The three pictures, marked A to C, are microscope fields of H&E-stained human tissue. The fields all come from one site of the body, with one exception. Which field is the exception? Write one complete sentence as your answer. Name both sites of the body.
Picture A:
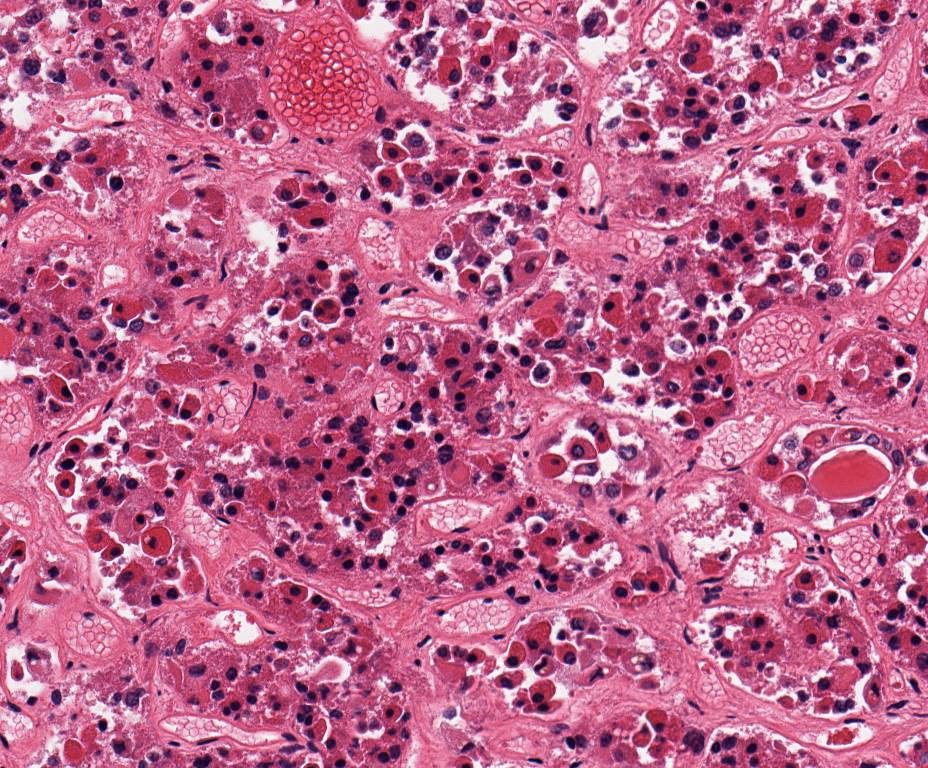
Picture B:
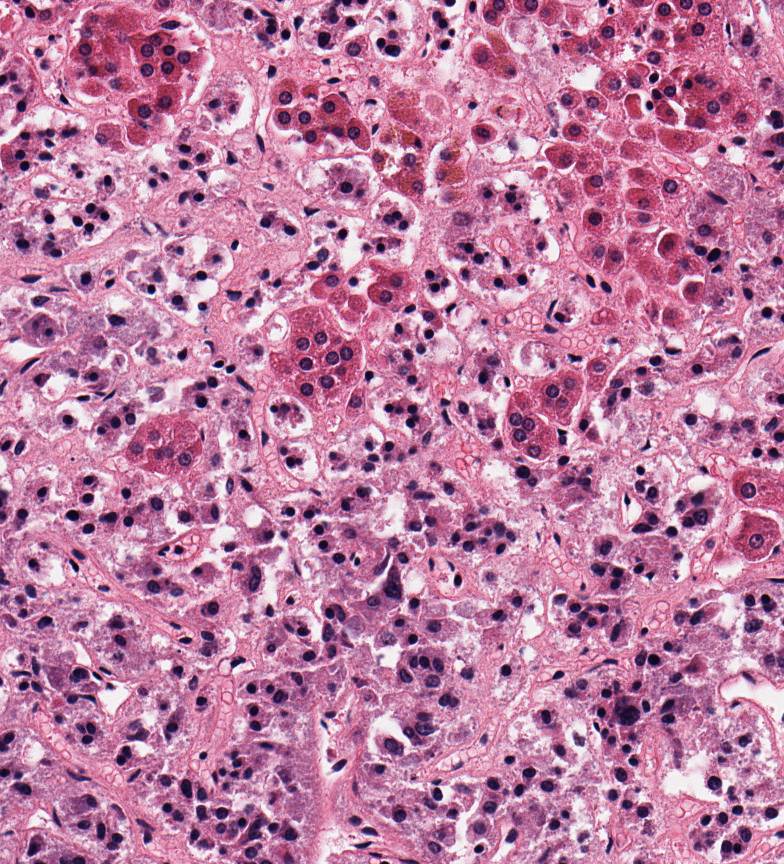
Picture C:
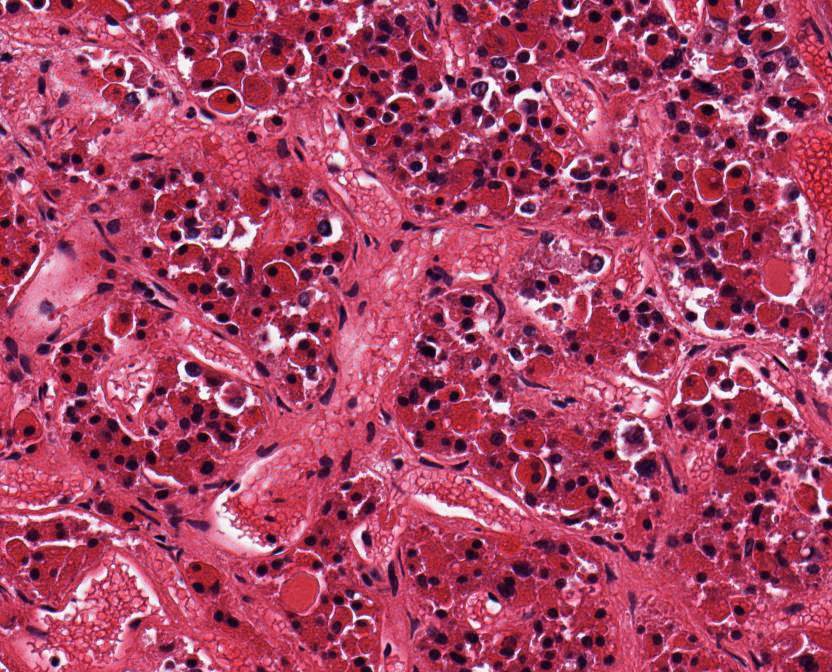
Picture B is the odd one out: it comes from the adrenal gland, while the others come from the pituitary.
